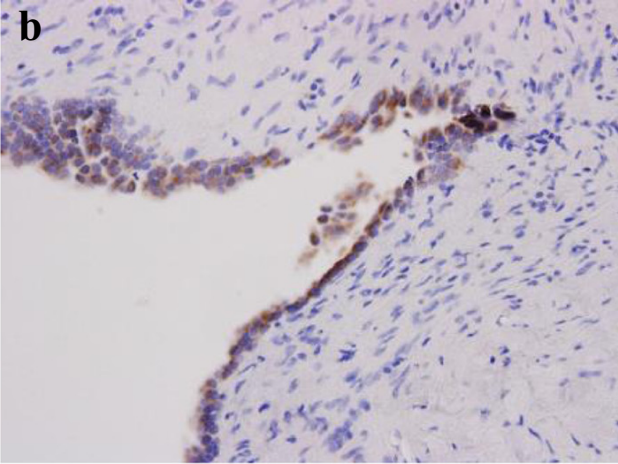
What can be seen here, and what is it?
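Cyst wall lined by a thin layer of epithelial cells, locally heaped up into several layers, whose cytoplasm and borders are stained brown around blue nuclei. The lining faces a large empty lumen and rests on stroma of spindle cells with blue nuclei and no brown stain.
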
